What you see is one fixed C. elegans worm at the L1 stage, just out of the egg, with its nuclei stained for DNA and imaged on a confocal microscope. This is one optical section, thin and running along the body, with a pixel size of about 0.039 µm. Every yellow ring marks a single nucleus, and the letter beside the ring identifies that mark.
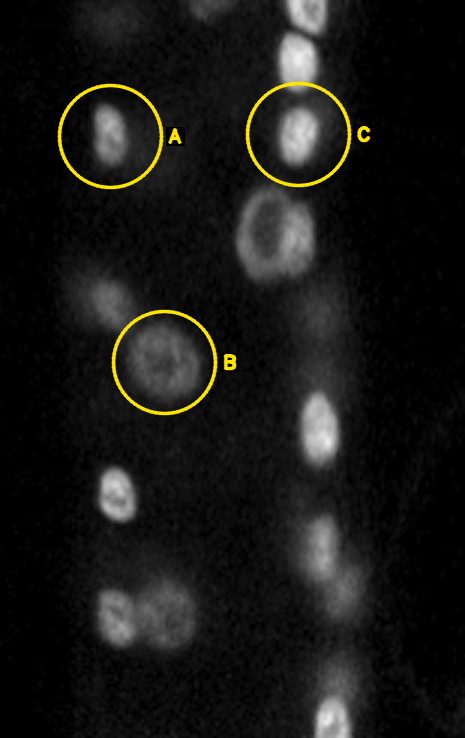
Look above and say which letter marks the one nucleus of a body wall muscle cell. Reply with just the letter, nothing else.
A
